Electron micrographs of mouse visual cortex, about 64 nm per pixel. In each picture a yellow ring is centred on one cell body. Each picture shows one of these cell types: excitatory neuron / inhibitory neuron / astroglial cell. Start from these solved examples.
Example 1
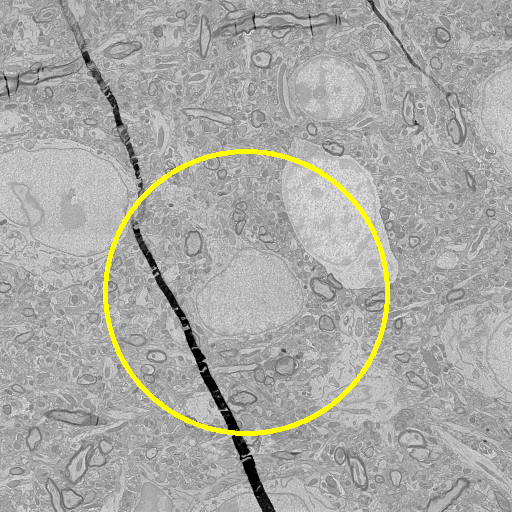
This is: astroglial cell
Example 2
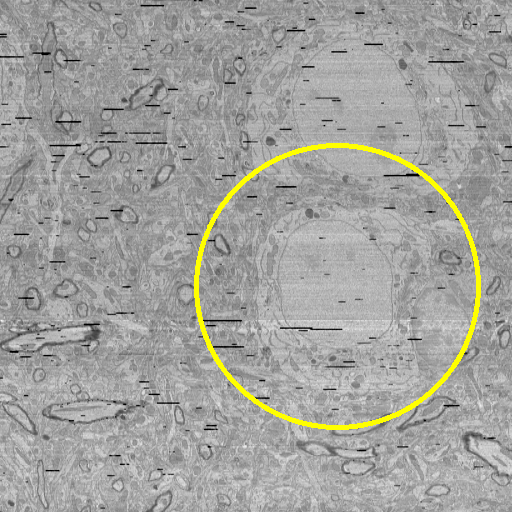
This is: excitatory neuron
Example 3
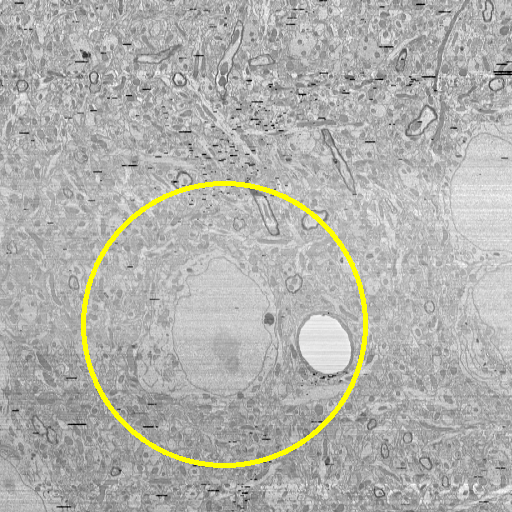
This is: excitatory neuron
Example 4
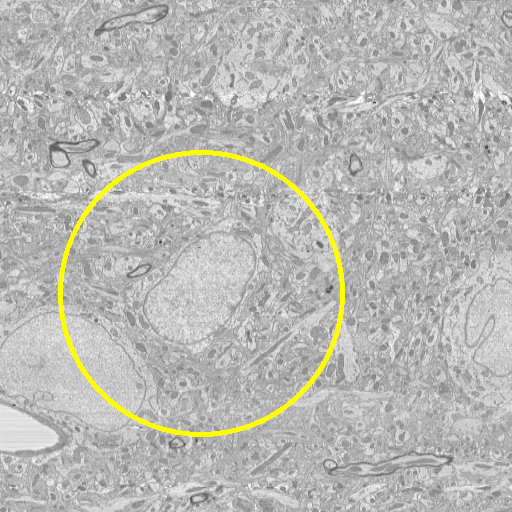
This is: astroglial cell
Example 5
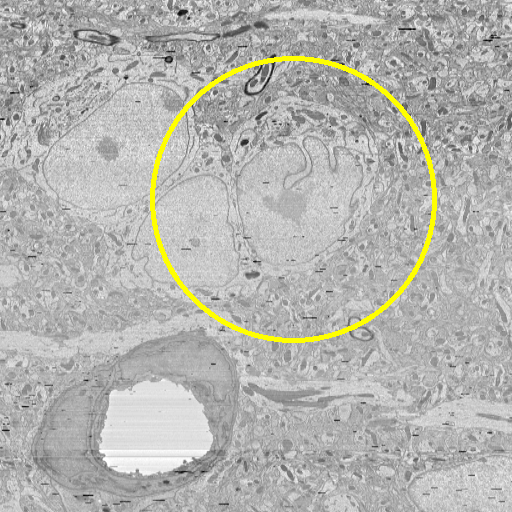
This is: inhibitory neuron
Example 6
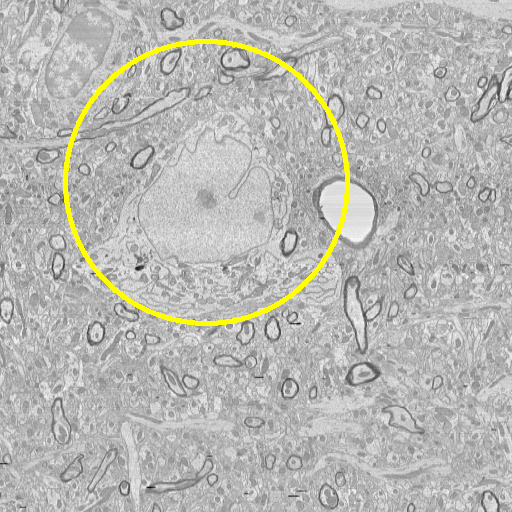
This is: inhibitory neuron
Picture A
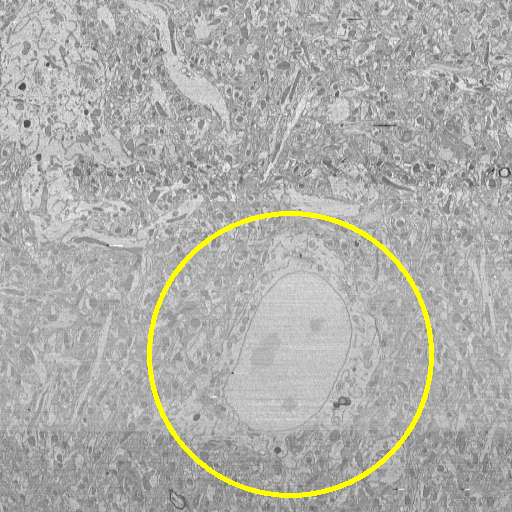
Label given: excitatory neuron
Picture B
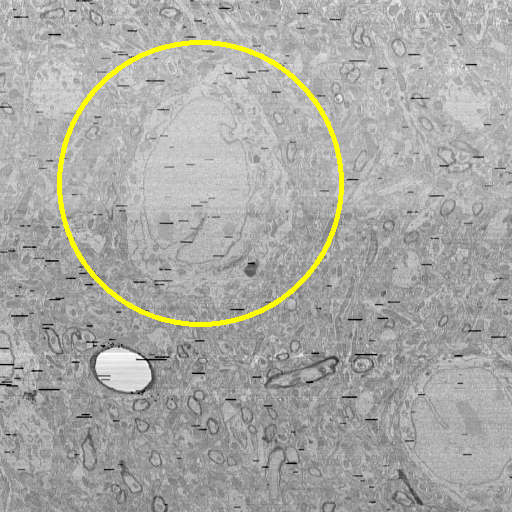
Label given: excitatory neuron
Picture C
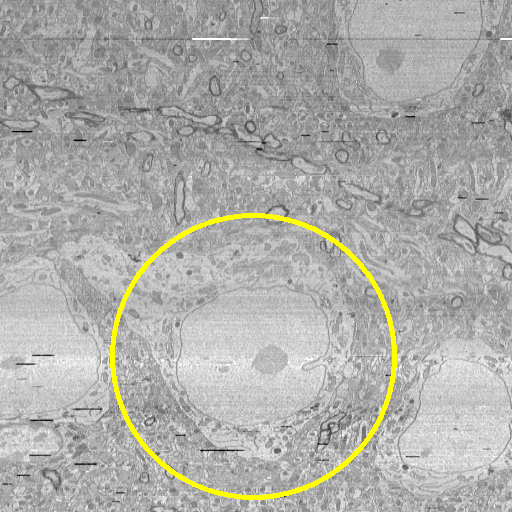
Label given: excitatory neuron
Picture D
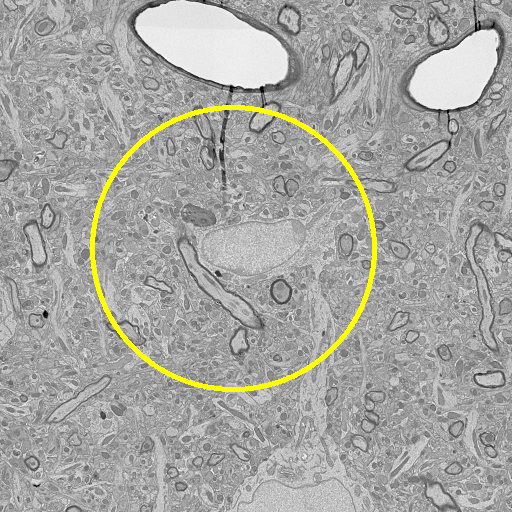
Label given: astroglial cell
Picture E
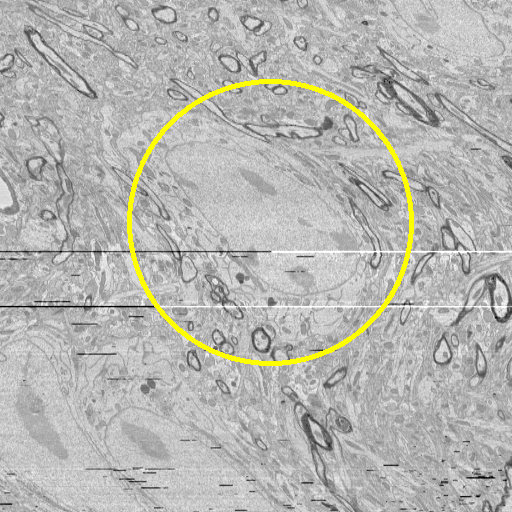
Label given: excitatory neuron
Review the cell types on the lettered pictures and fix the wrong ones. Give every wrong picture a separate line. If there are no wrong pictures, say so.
Nothing to fix; every label fits.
